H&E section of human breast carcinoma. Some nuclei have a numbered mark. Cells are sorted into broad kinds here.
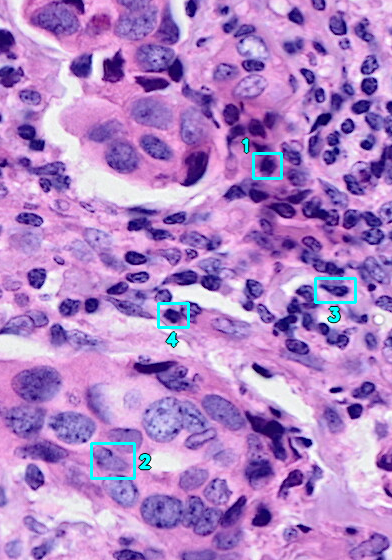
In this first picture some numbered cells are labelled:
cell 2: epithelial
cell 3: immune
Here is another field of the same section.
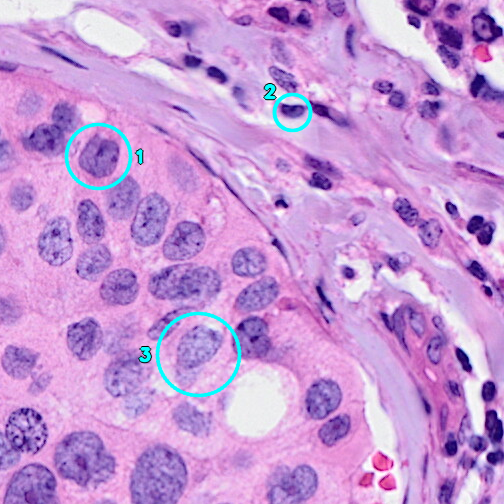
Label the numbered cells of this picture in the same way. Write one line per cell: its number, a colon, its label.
1: epithelial
2: immune
3: epithelial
